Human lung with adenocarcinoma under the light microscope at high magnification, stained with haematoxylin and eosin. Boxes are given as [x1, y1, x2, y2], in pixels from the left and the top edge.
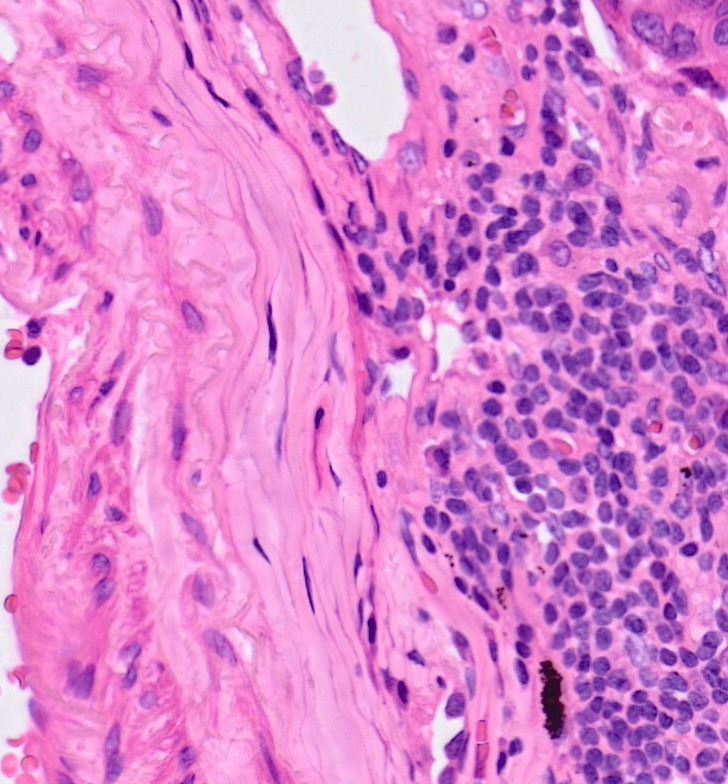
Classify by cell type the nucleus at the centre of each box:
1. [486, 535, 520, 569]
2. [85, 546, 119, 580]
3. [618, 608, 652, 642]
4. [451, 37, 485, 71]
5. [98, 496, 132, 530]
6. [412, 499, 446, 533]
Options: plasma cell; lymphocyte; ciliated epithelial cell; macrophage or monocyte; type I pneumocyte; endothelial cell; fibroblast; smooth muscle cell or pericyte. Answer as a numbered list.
1. lymphocyte
2. smooth muscle cell or pericyte
3. lymphocyte
4. lymphocyte
5. smooth muscle cell or pericyte
6. lymphocyte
